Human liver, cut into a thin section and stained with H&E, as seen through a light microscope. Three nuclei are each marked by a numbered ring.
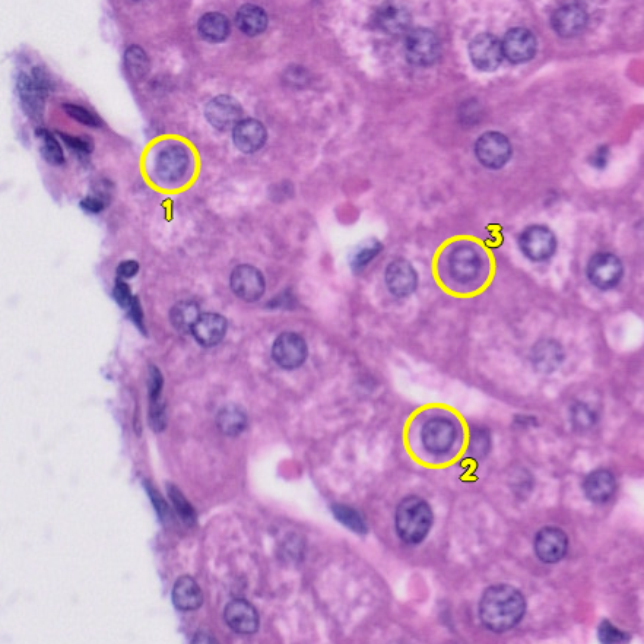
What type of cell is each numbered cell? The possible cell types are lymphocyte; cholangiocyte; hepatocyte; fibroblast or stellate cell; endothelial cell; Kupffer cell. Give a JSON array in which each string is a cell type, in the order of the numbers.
["cholangiocyte", "hepatocyte", "hepatocyte"]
